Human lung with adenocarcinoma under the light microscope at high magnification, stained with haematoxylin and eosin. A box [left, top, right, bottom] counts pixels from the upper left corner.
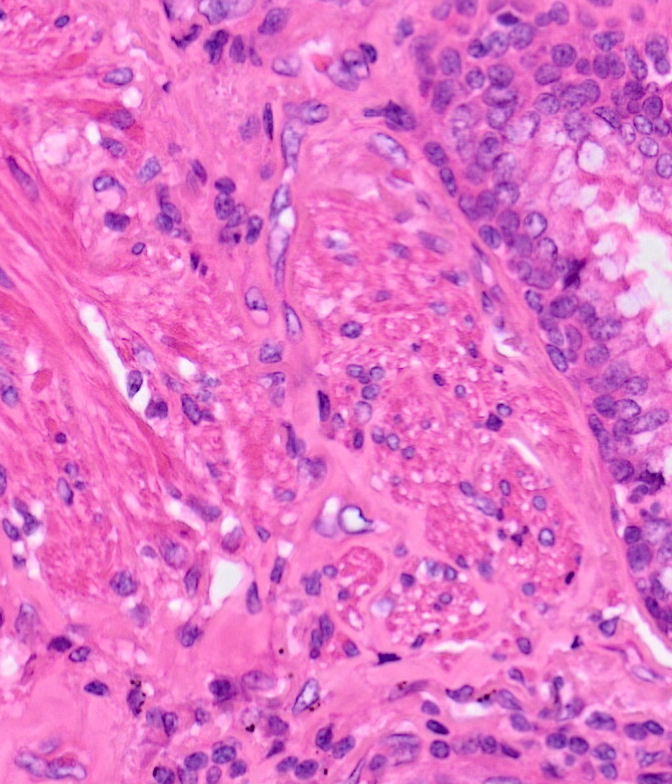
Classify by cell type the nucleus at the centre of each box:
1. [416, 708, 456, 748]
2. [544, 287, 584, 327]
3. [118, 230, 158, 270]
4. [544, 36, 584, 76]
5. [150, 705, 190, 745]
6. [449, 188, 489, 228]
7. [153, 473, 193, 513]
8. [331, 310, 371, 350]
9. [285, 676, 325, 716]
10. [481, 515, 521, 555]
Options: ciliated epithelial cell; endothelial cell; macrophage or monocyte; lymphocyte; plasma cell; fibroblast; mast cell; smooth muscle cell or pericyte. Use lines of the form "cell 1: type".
cell 1: lymphocyte
cell 2: ciliated epithelial cell
cell 3: smooth muscle cell or pericyte
cell 4: ciliated epithelial cell
cell 5: plasma cell
cell 6: ciliated epithelial cell
cell 7: smooth muscle cell or pericyte
cell 8: mast cell
cell 9: fibroblast
cell 10: smooth muscle cell or pericyte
